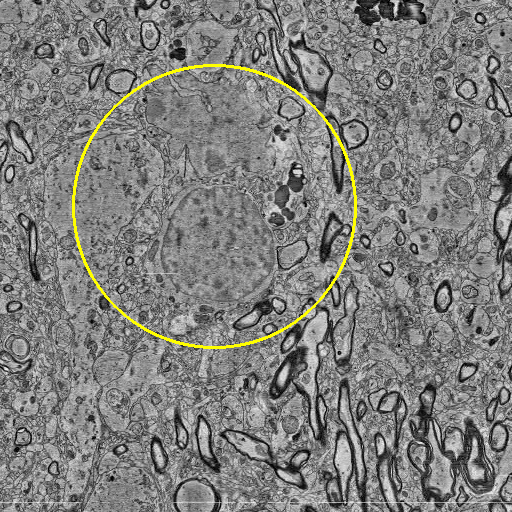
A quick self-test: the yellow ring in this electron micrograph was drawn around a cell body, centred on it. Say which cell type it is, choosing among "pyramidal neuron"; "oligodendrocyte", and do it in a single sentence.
The yellow-ringed cell is an oligodendrocyte.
